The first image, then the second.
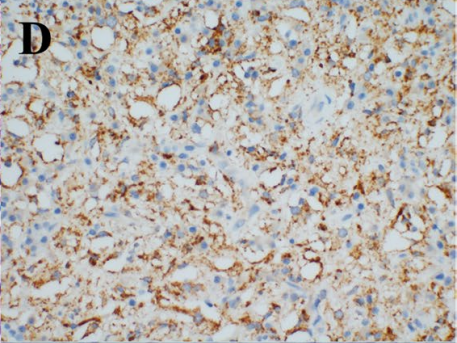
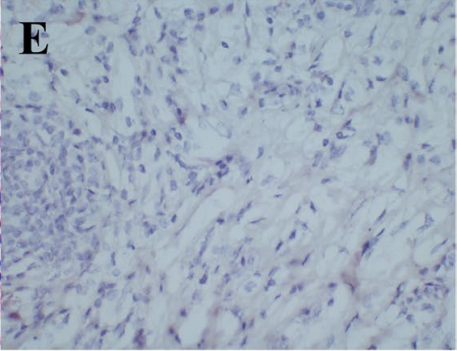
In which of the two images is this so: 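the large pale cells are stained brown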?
The first image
